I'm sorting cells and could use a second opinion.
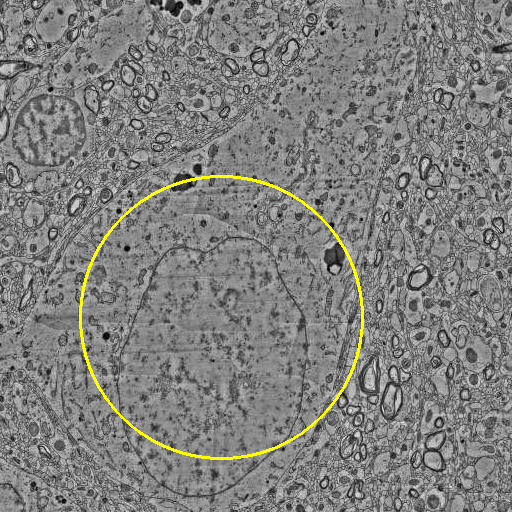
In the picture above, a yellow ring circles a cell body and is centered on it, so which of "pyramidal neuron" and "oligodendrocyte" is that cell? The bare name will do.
pyramidal neuron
